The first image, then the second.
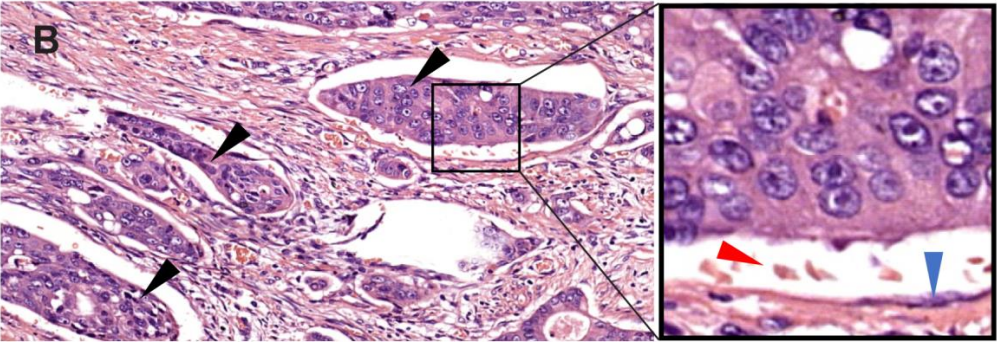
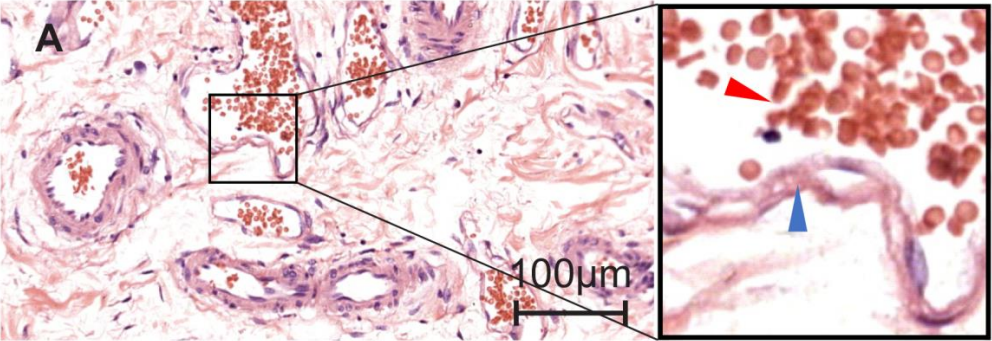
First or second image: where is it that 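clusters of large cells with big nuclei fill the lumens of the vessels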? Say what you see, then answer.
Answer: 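The first image. First image: several lumens contain solid nests of large cells with big round nuclei.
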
